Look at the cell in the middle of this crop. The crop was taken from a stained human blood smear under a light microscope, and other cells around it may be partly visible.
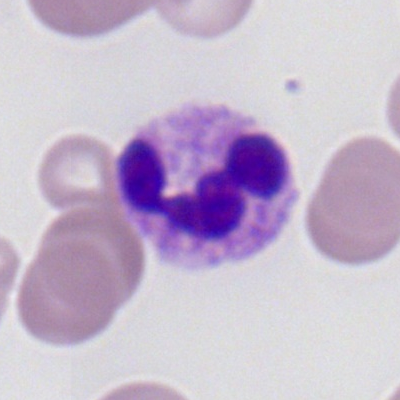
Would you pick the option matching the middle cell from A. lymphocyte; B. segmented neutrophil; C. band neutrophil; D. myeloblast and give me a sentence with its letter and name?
This one is option B, since the cell at the center is a segmented neutrophil.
